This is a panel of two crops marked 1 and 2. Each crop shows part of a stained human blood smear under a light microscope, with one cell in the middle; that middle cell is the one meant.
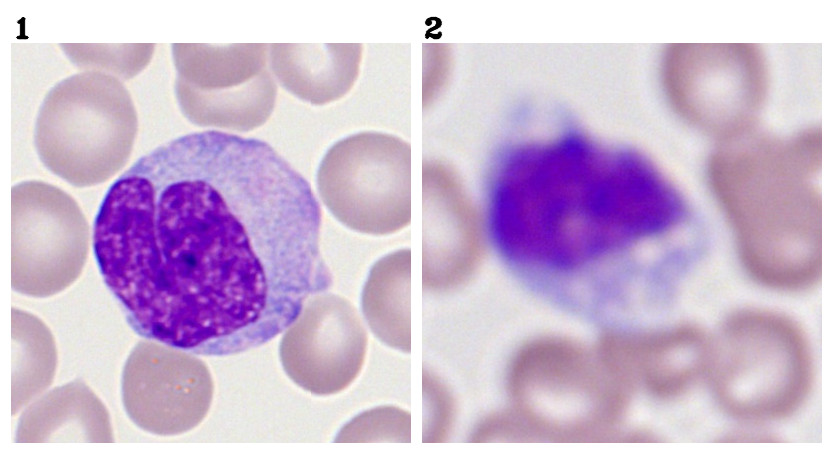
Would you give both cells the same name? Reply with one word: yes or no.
yes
